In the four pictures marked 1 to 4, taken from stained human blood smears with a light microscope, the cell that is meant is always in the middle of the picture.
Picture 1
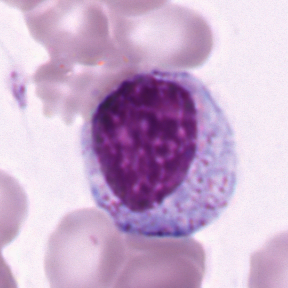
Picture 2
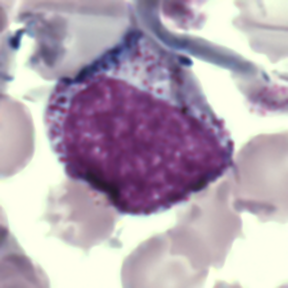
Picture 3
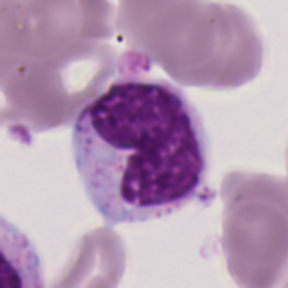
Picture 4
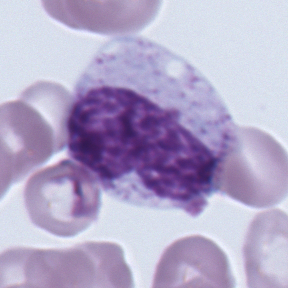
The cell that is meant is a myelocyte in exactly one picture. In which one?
2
